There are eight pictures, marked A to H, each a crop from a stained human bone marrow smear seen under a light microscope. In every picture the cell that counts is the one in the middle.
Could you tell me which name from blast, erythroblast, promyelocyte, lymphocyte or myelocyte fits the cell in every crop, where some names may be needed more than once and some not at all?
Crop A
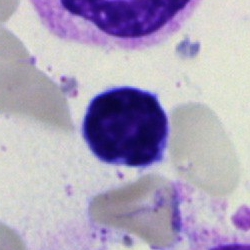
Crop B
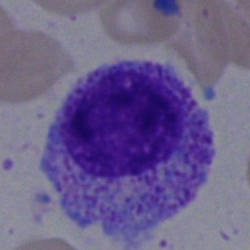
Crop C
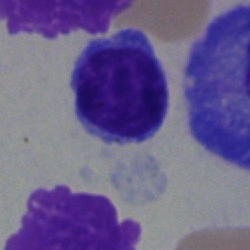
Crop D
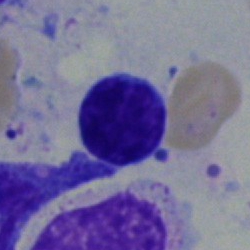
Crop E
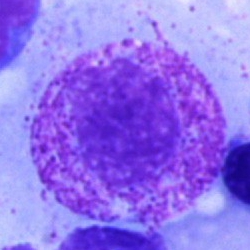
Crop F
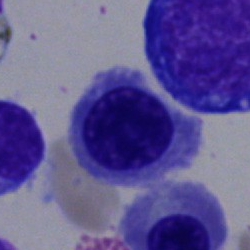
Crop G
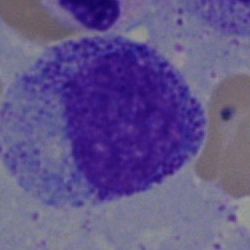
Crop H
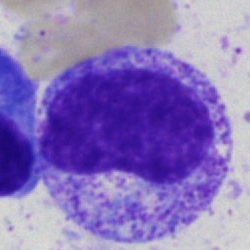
A: lymphocyte
B: myelocyte
C: lymphocyte
D: lymphocyte
E: myelocyte
F: erythroblast
G: promyelocyte
H: myelocyte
